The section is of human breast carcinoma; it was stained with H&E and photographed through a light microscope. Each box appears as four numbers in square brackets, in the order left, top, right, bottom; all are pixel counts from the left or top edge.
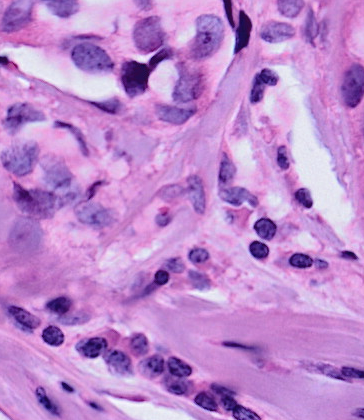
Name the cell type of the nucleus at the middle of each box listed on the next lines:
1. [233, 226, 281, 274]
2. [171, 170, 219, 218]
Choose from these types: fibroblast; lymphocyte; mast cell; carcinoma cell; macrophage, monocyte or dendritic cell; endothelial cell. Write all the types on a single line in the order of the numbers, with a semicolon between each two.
lymphocyte; endothelial cell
